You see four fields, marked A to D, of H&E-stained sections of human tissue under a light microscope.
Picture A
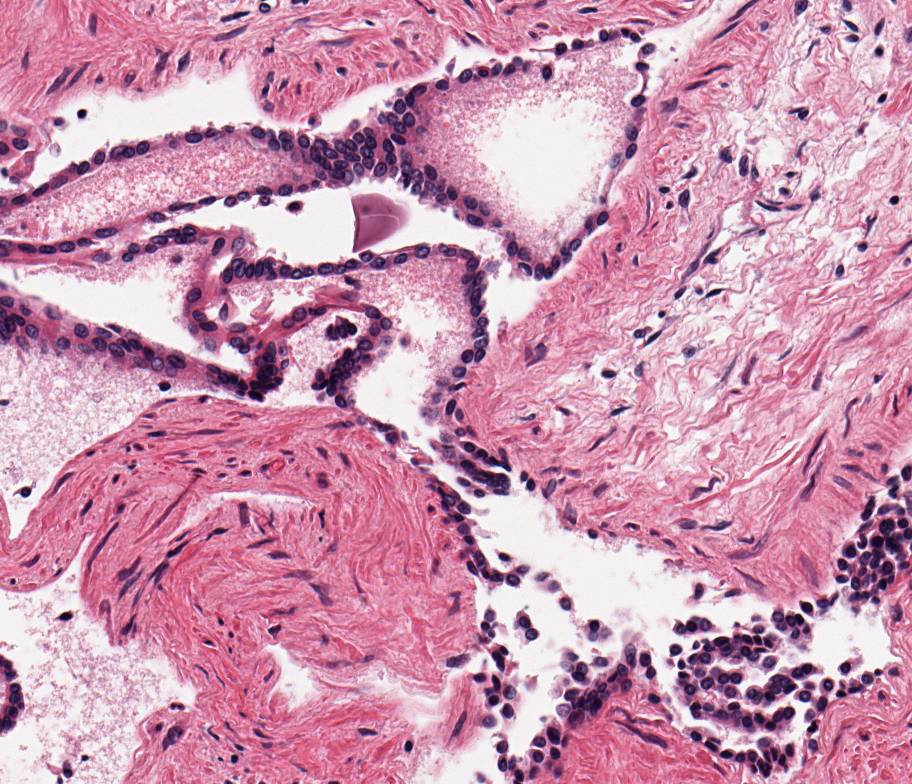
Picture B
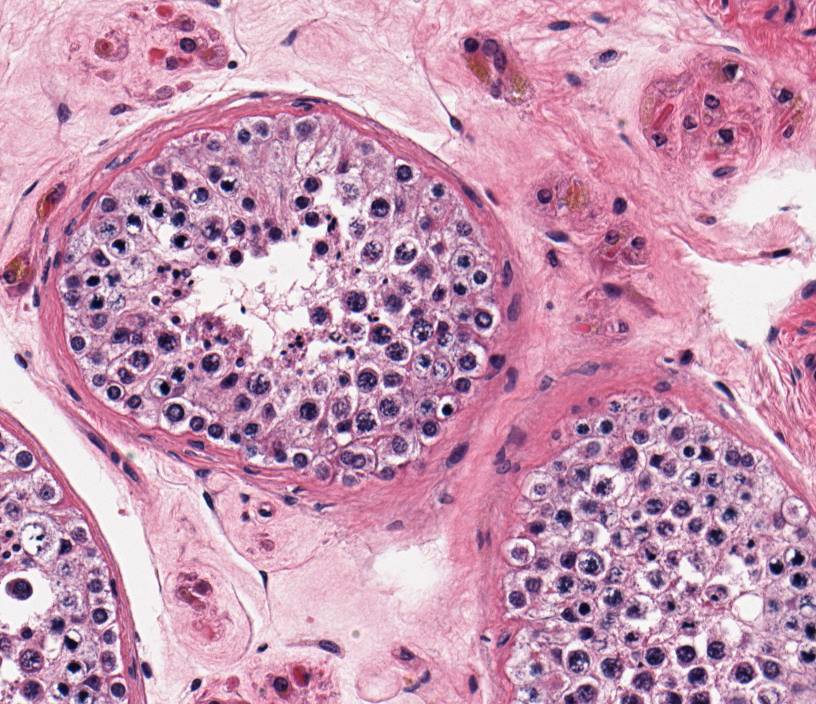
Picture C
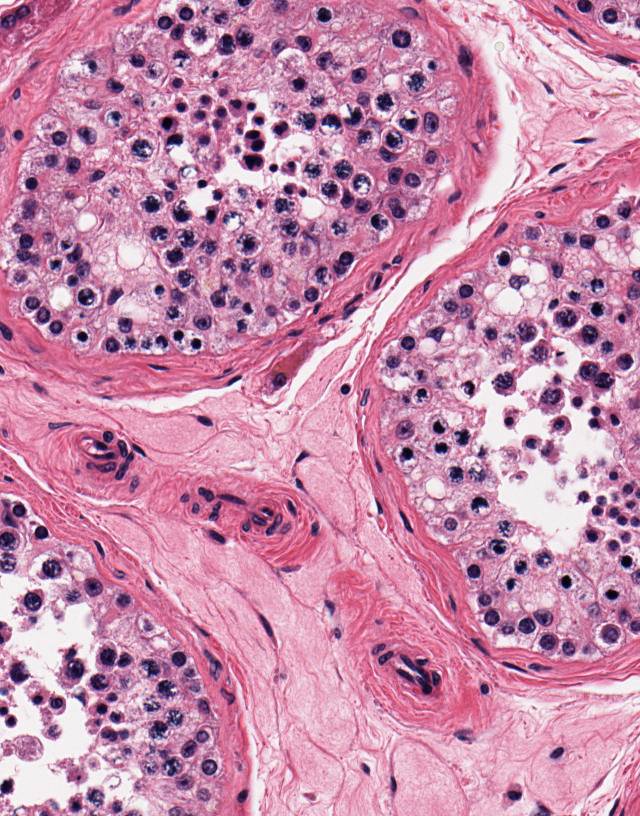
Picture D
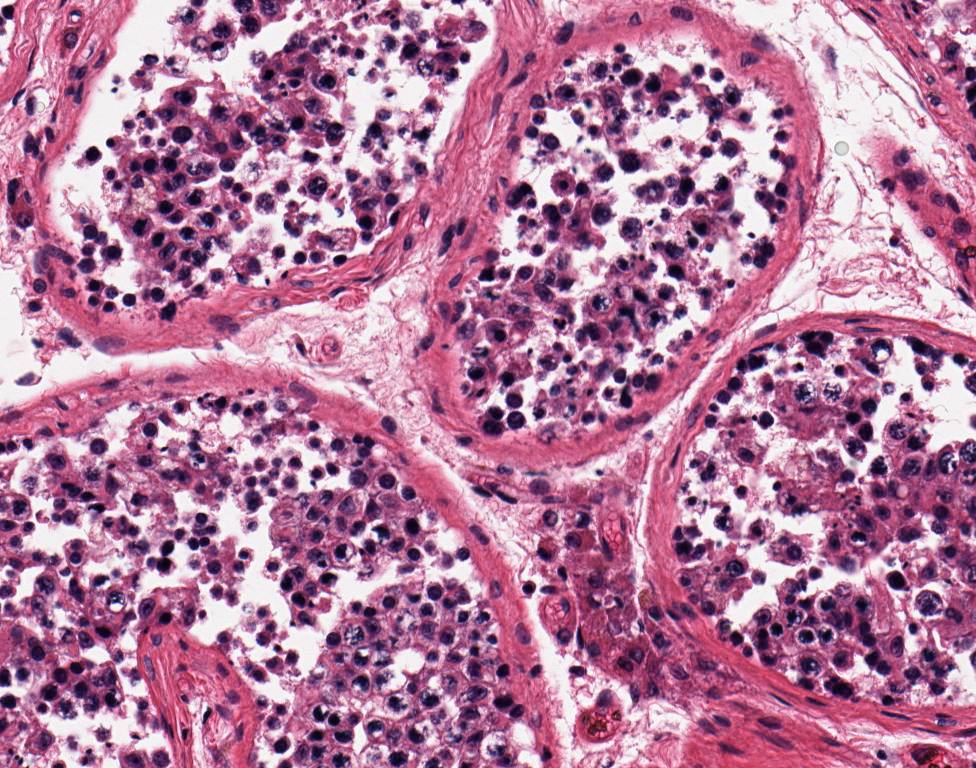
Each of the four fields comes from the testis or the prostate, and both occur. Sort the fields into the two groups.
A: prostate
B: testis
C: testis
D: testis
